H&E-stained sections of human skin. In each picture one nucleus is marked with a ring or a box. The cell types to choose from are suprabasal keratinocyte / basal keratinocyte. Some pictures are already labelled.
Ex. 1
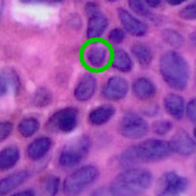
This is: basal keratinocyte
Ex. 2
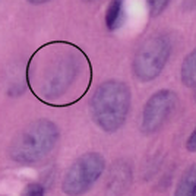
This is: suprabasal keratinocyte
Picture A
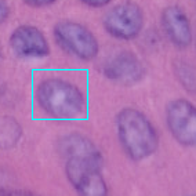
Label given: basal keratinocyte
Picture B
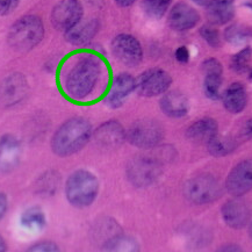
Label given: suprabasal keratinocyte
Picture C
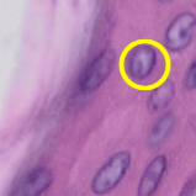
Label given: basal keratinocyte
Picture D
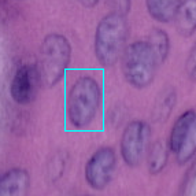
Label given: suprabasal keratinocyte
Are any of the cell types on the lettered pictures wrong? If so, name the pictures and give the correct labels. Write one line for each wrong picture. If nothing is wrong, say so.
A should be suprabasal keratinocyte, not basal keratinocyte
C should be suprabasal keratinocyte, not basal keratinocyte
